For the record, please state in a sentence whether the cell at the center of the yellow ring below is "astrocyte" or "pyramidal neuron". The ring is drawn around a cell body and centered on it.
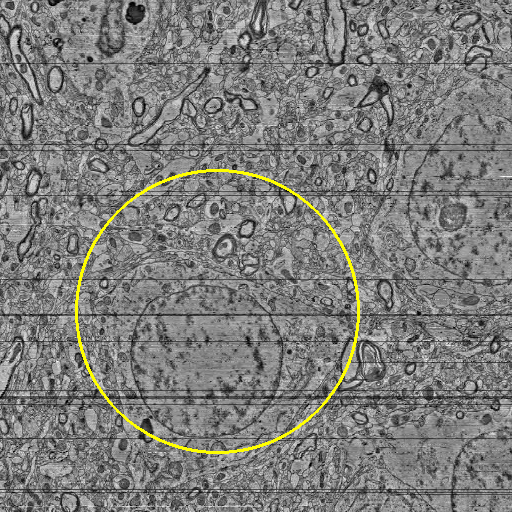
The cell at the ring's center is a pyramidal neuron.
